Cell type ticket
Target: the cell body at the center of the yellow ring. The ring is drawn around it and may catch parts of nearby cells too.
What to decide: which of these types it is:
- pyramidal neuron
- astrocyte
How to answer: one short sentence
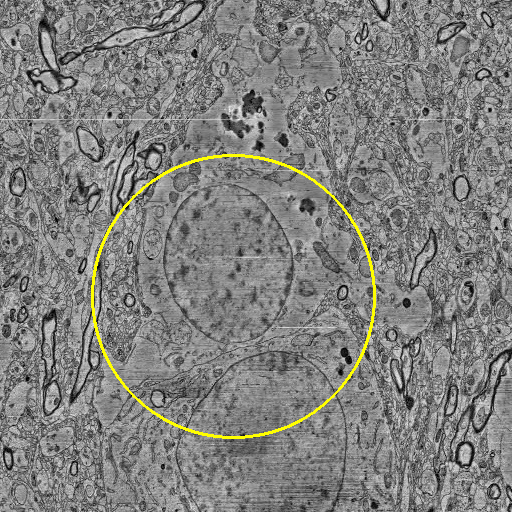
The cell at the center of the ring is an astrocyte.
